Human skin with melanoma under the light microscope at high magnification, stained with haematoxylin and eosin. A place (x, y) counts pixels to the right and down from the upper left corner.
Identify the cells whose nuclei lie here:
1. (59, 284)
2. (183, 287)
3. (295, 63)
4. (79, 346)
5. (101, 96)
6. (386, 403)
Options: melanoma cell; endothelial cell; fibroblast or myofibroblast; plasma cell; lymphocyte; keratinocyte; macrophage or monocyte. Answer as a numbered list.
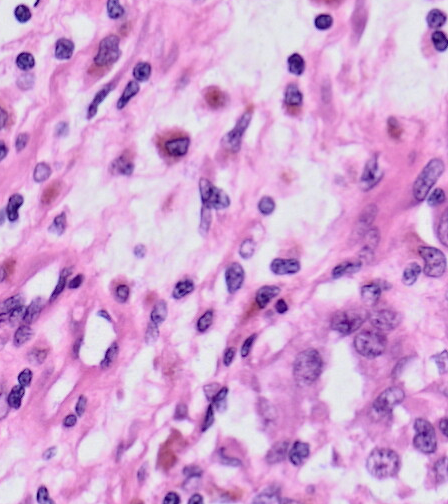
1. endothelial cell
2. plasma cell
3. lymphocyte
4. endothelial cell
5. fibroblast or myofibroblast
6. melanoma cell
